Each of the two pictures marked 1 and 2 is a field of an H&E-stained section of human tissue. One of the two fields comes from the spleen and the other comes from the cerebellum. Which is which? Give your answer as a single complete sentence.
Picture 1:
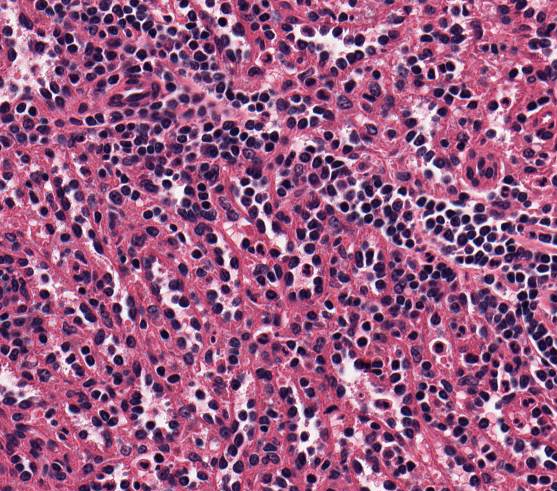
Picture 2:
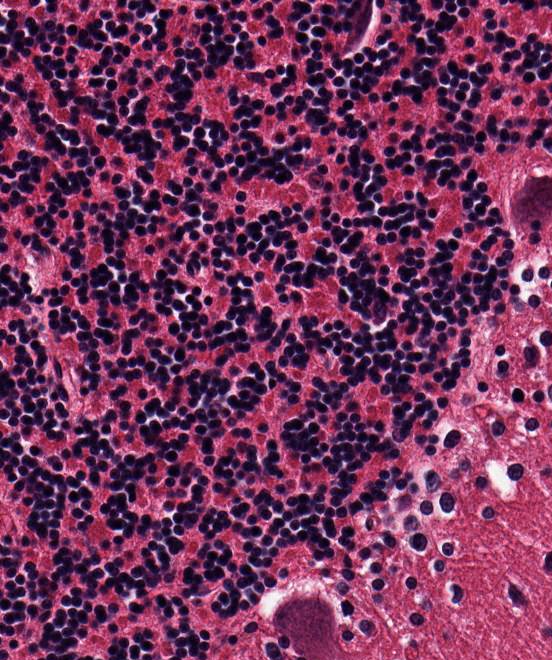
Picture 1 comes from the spleen; picture 2 comes from the cerebellum.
